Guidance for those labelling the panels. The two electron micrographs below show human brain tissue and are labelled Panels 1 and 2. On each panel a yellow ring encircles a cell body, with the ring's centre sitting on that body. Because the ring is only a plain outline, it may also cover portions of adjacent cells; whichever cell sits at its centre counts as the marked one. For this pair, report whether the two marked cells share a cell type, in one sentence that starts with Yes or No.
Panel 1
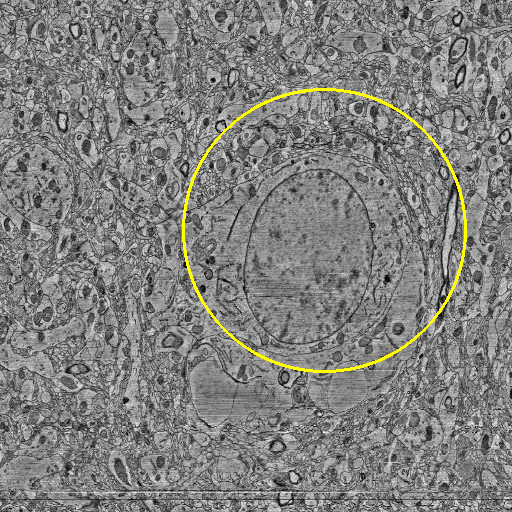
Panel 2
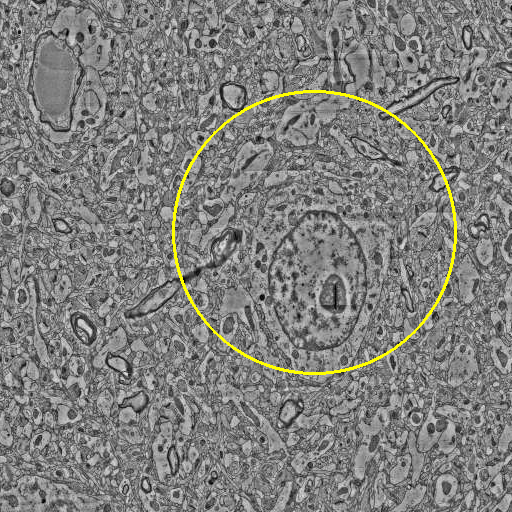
Yes, in Panel 1 and Panel 2 the marked cells at the ring centres share one type.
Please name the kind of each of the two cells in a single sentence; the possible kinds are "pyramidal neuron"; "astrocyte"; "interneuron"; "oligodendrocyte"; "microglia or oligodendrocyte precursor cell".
The second cell is a pyramidal neuron, just as the first is.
